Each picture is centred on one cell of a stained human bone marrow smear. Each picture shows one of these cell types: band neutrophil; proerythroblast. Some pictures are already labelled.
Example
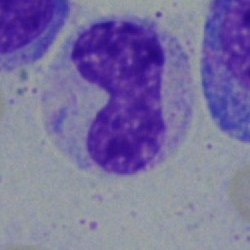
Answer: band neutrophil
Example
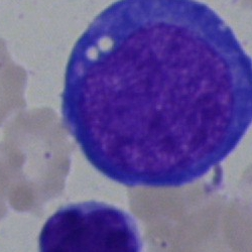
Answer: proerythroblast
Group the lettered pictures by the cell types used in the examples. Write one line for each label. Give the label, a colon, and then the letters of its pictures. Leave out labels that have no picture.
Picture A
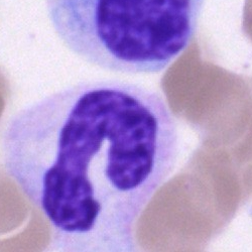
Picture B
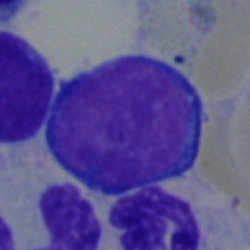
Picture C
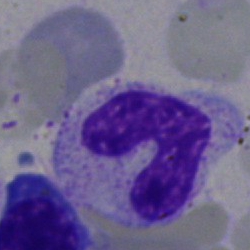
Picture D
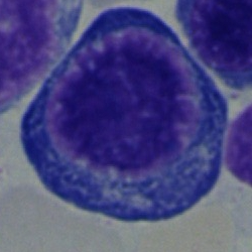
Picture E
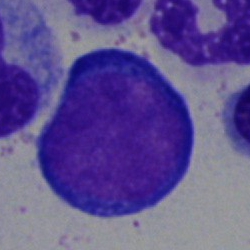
band neutrophil: A, C
proerythroblast: B, D, E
